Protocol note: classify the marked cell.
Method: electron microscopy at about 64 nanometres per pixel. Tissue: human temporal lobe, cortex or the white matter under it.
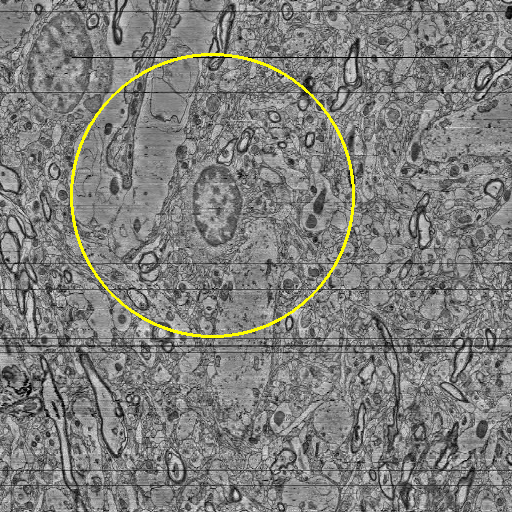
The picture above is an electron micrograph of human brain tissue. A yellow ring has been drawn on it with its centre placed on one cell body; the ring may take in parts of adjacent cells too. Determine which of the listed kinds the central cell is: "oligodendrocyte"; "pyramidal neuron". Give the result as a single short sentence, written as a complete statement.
The central cell is an oligodendrocyte.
